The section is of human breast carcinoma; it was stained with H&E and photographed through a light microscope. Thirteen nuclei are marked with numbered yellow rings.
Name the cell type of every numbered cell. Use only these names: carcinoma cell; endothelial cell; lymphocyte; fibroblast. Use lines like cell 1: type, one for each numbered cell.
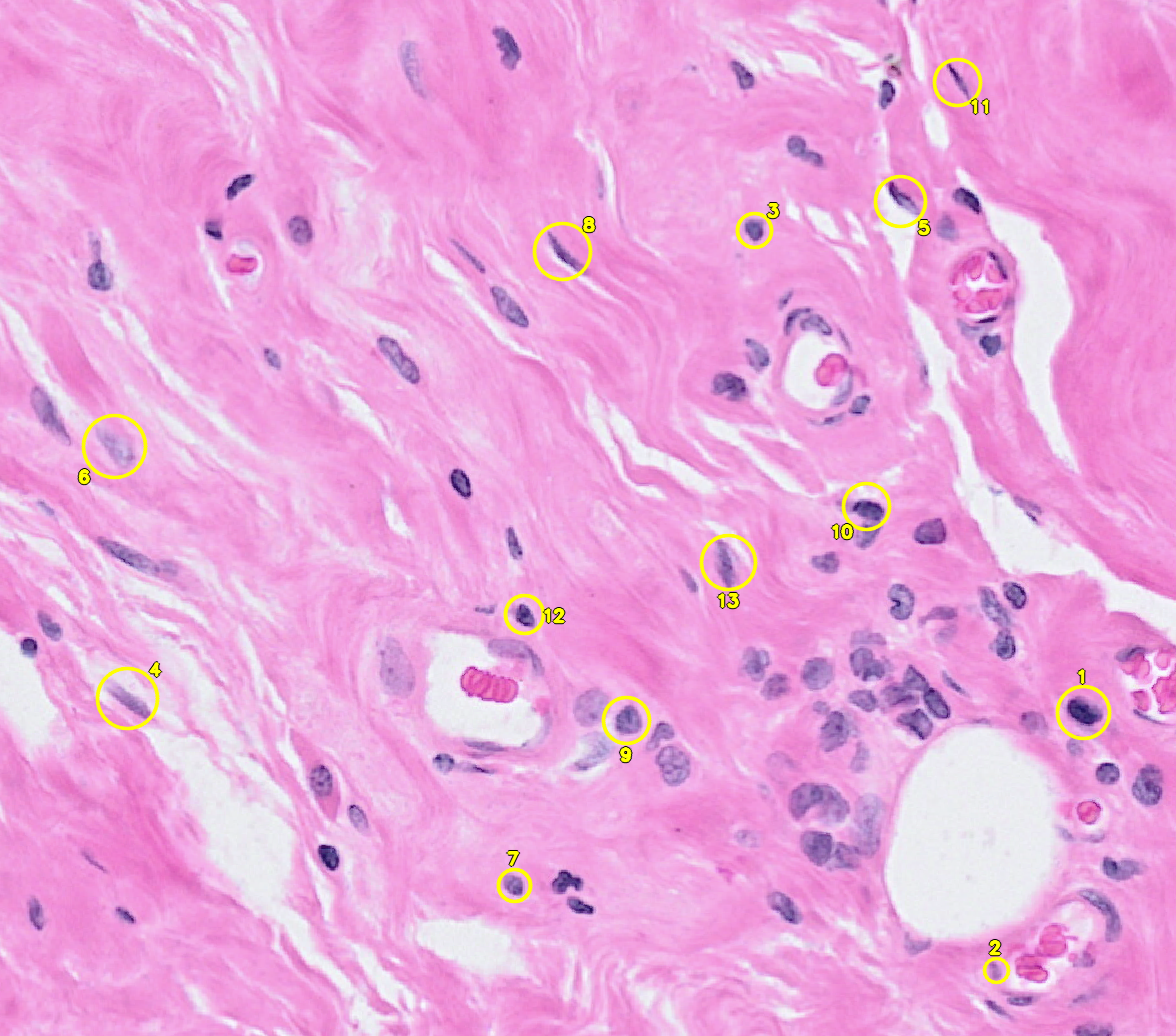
cell 1: lymphocyte
cell 2: endothelial cell
cell 3: lymphocyte
cell 4: fibroblast
cell 5: fibroblast
cell 6: fibroblast
cell 7: lymphocyte
cell 8: fibroblast
cell 9: lymphocyte
cell 10: lymphocyte
cell 11: fibroblast
cell 12: lymphocyte
cell 13: fibroblast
